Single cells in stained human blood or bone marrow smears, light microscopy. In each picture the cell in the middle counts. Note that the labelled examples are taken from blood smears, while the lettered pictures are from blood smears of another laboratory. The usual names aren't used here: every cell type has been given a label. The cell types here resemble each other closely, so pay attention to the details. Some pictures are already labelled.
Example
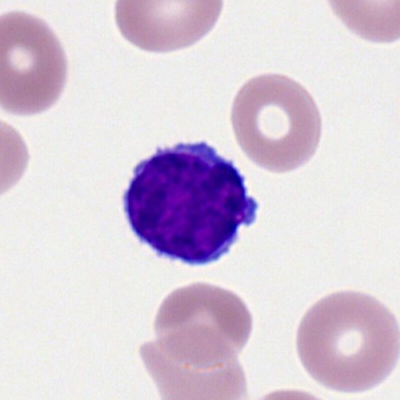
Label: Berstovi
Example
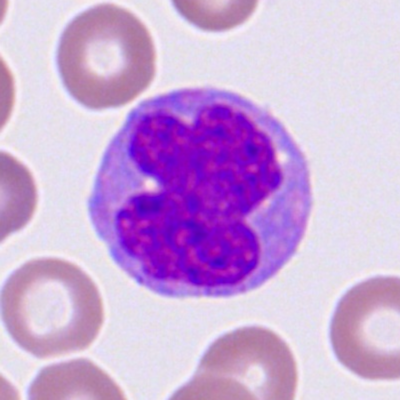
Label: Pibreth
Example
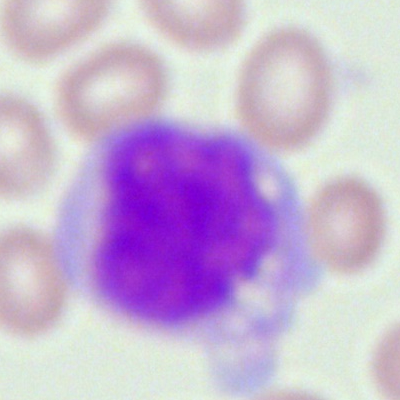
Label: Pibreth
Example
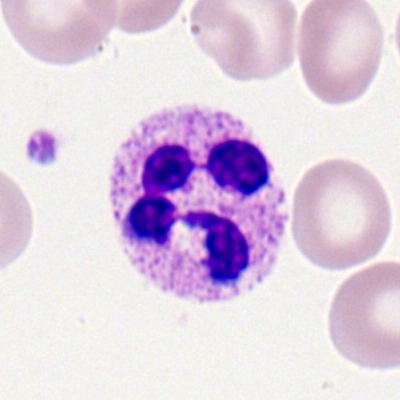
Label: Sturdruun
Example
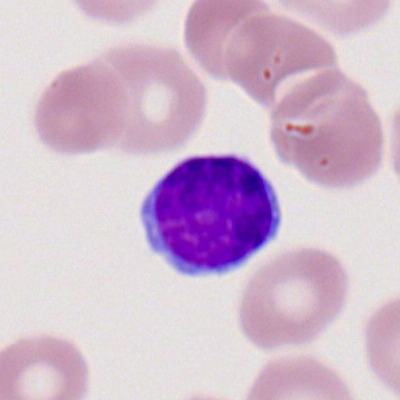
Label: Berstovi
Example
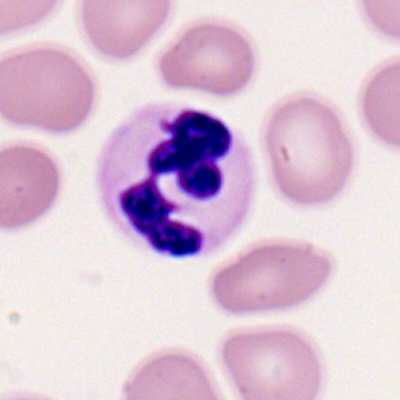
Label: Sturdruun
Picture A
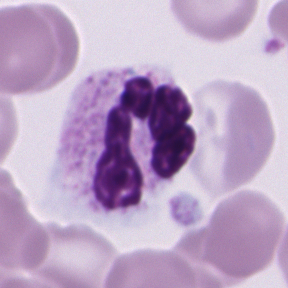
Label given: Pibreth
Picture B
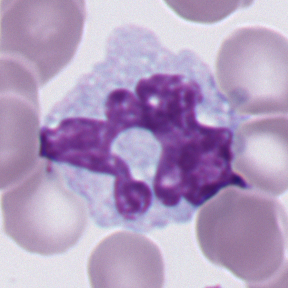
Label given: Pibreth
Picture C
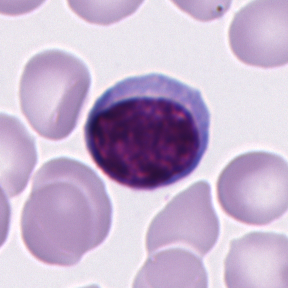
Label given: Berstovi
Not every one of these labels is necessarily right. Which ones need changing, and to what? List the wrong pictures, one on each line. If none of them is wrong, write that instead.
Wrong: A (Pibreth); correct: Sturdruun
